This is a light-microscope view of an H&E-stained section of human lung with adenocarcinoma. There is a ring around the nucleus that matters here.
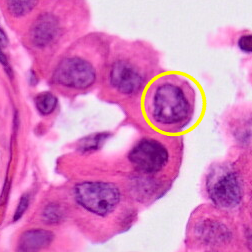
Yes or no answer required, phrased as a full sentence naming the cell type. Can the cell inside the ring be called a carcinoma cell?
Yes, and to confirm, the cell inside the ring is a carcinoma cell.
